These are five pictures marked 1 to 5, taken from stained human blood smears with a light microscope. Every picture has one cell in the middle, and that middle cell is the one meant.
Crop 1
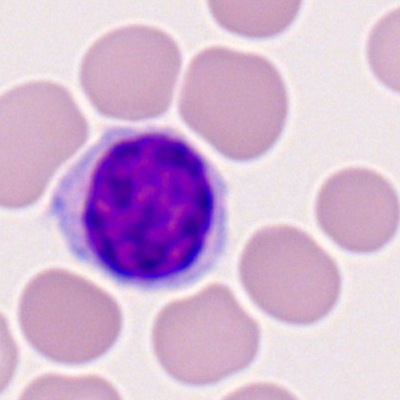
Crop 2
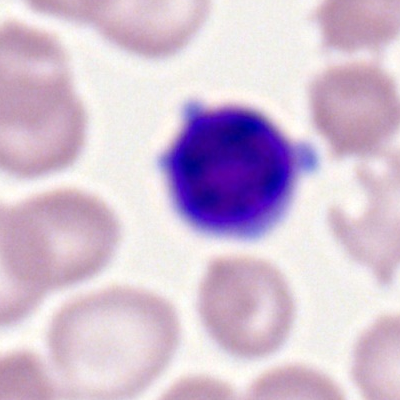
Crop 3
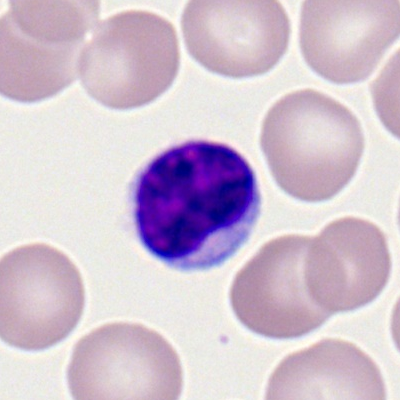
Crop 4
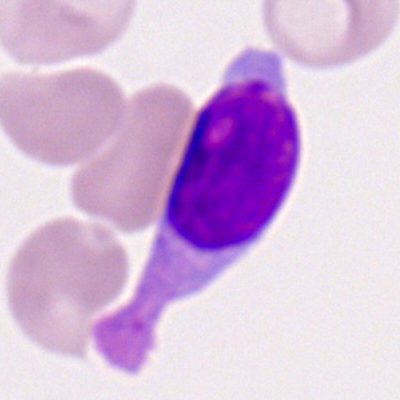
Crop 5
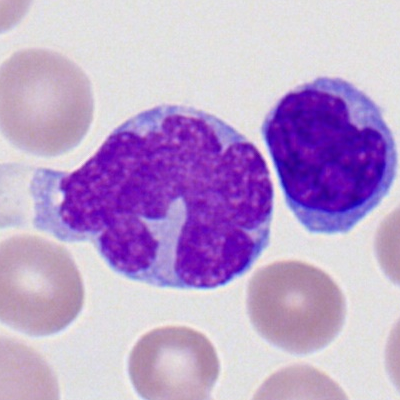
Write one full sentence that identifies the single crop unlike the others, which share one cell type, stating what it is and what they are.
The different crop is 5; it is a monocyte, and the others all show lymphocytes.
